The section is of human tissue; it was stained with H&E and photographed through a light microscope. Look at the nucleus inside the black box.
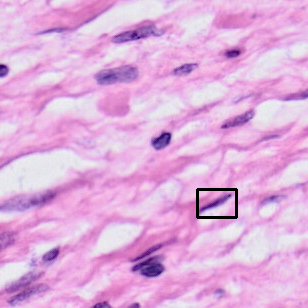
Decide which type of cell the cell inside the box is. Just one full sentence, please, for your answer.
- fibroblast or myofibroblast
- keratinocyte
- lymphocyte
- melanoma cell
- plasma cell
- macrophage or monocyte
On this particular slide, the cell inside the box is a fibroblast or myofibroblast.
